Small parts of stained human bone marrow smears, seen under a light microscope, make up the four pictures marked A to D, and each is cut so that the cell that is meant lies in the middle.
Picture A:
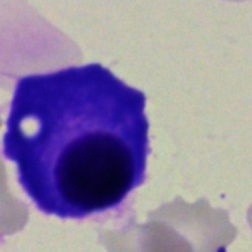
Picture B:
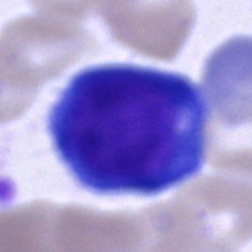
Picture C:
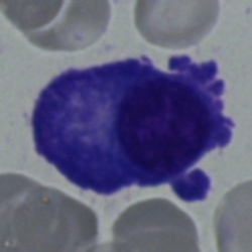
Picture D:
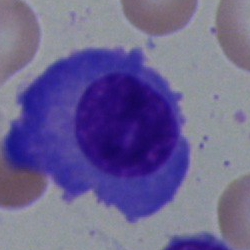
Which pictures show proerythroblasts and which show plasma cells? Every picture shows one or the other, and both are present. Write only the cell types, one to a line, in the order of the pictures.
plasma cell
proerythroblast
plasma cell
plasma cell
